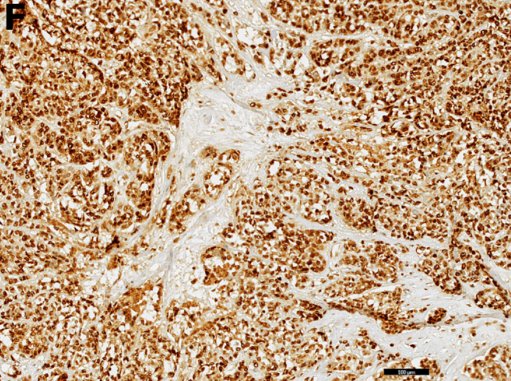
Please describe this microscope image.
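The tumor cells form large solid nests and sheets, with dark brown nuclei set in brown-tinged cytoplasm. Narrow bands of pale, loosely fibrous stroma run between the nests and contain only a few scattered cells. Almost no tumor cell is left unstained.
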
